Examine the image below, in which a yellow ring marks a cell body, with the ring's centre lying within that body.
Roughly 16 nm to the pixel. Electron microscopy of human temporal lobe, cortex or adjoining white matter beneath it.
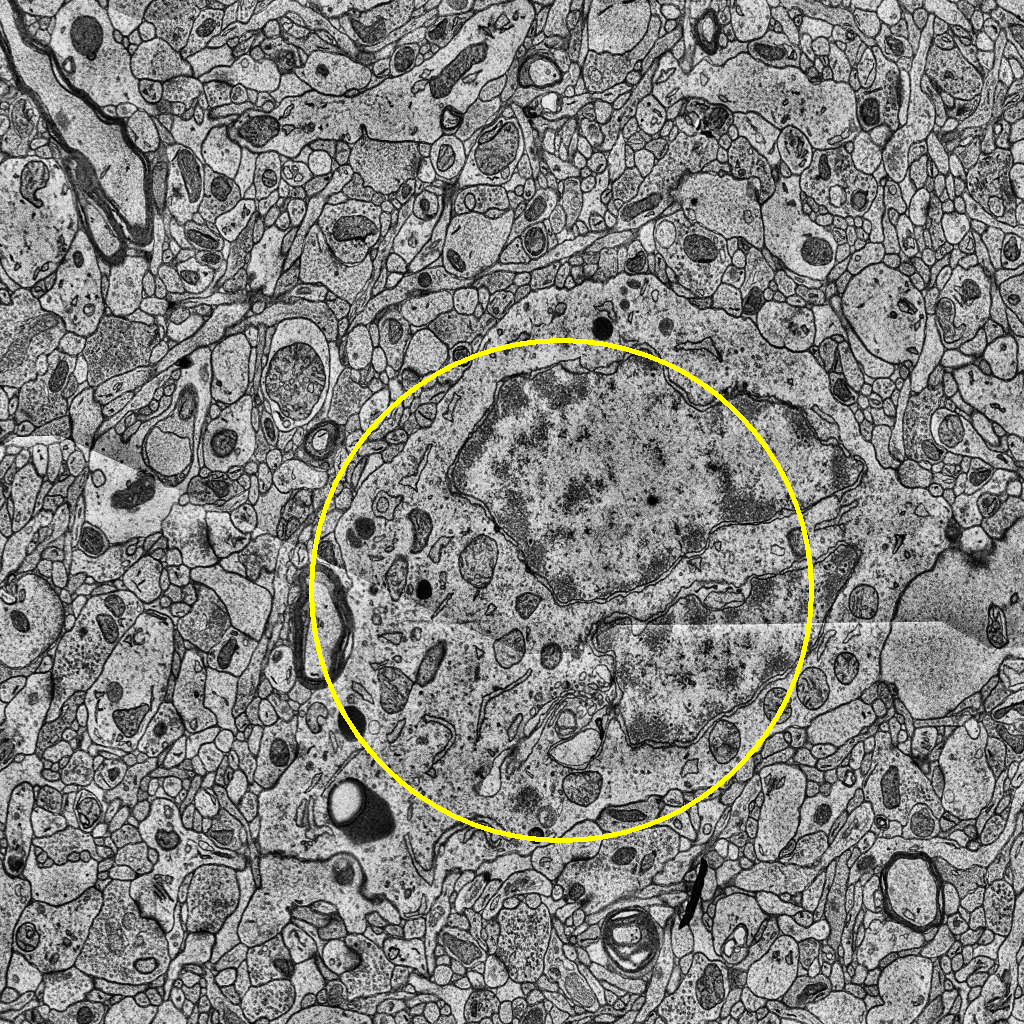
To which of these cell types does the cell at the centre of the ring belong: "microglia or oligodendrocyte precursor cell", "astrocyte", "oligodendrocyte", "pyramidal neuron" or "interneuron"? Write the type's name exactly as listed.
interneuron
